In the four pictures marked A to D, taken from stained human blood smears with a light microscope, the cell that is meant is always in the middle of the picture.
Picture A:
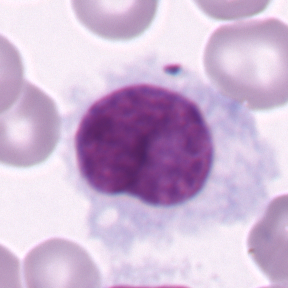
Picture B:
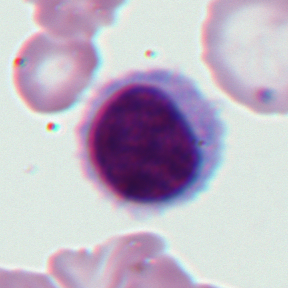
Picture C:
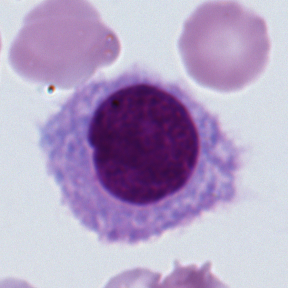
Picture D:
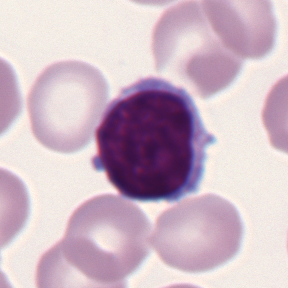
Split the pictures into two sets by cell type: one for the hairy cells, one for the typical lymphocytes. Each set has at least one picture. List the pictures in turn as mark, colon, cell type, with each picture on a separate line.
A: hairy cell
B: hairy cell
C: hairy cell
D: typical lymphocyte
